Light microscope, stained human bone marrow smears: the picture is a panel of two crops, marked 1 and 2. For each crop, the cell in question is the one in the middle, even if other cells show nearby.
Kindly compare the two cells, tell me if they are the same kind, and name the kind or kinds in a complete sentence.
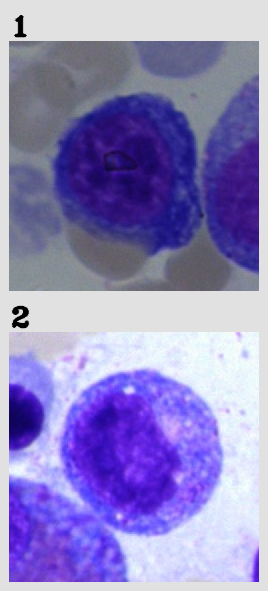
No, cell 1 is a proerythroblast, and cell 2 is a promyelocyte.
